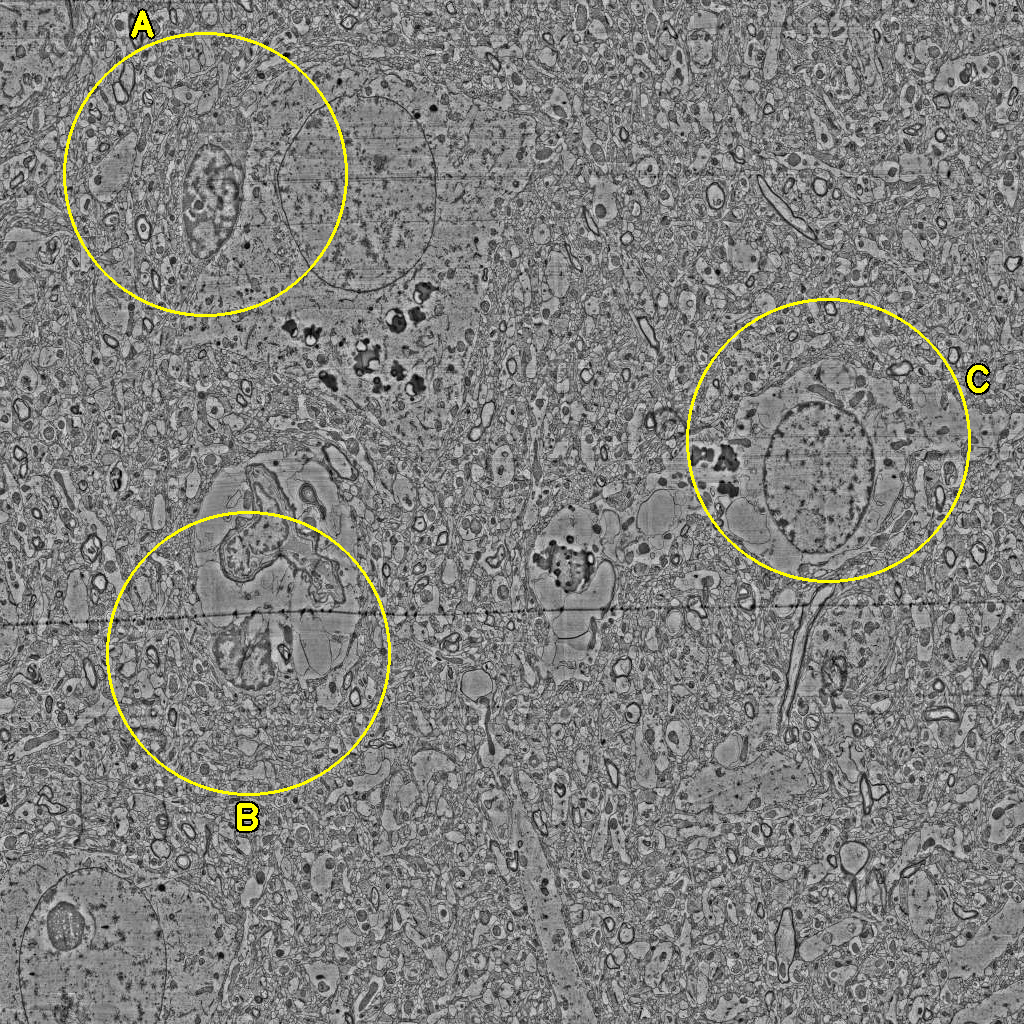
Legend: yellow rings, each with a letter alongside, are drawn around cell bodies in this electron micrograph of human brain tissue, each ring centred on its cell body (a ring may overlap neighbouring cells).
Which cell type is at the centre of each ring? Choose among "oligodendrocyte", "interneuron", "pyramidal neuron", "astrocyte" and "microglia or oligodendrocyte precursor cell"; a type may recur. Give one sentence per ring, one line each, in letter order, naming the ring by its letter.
Ring A has an oligodendrocyte at its centre.
Ring B has an oligodendrocyte at its centre.
Ring C has an astrocyte at its centre.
